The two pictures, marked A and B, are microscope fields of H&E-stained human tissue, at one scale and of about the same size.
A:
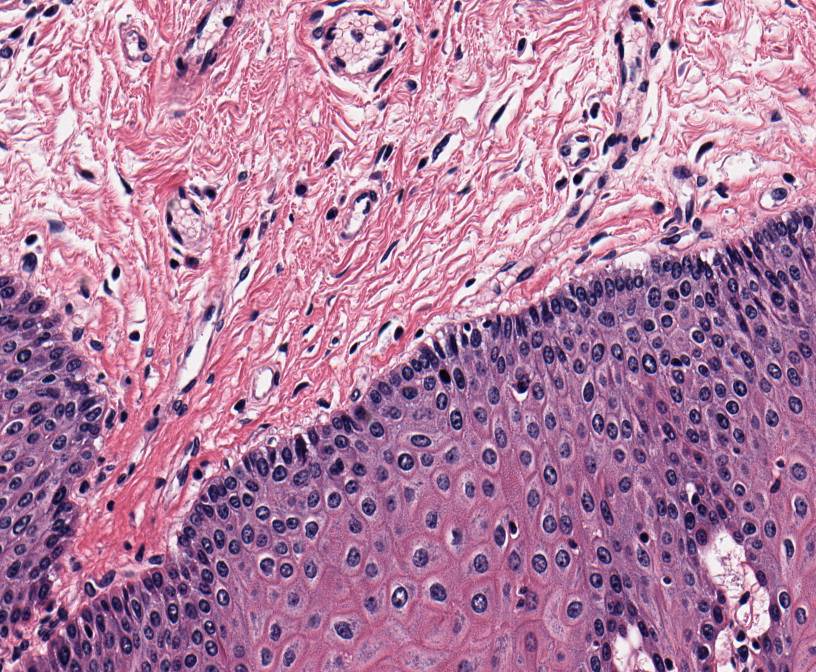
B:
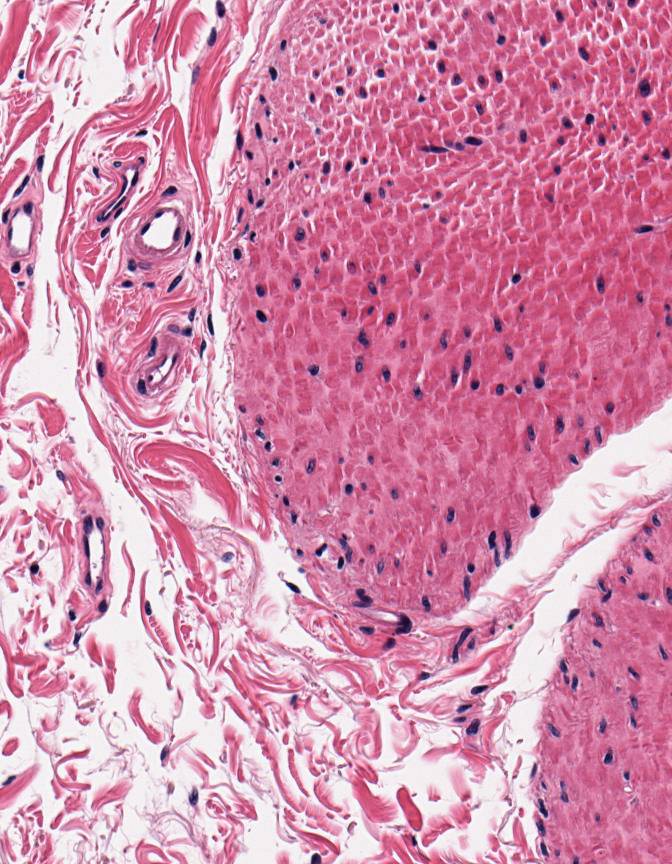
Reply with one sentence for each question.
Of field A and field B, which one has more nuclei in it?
The larger number of nuclei is in field A.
